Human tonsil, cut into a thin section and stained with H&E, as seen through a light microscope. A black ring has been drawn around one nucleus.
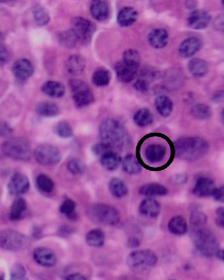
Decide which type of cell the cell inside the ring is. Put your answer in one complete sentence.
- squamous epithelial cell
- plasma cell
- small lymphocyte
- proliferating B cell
To be brief about it, the cell inside the ring is a plasma cell.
